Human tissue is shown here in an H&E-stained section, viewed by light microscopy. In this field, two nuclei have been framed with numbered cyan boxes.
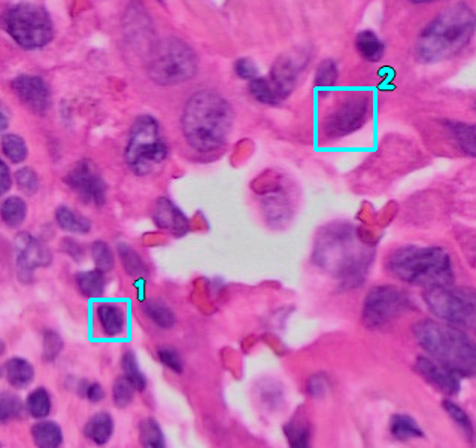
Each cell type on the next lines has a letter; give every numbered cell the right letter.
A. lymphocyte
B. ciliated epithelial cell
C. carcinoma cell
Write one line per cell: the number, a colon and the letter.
1: A
2: C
